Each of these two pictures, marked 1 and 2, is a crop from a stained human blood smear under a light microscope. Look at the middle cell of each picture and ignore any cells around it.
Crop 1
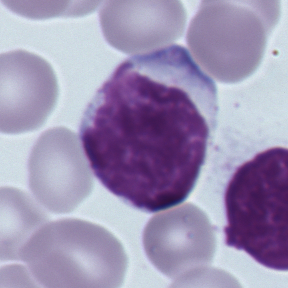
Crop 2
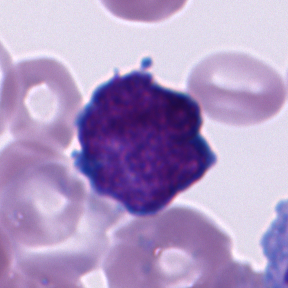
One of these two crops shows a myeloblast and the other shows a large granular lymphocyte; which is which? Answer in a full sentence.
Crop 1 should be reported as a large granular lymphocyte, and crop 2 as a myeloblast.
